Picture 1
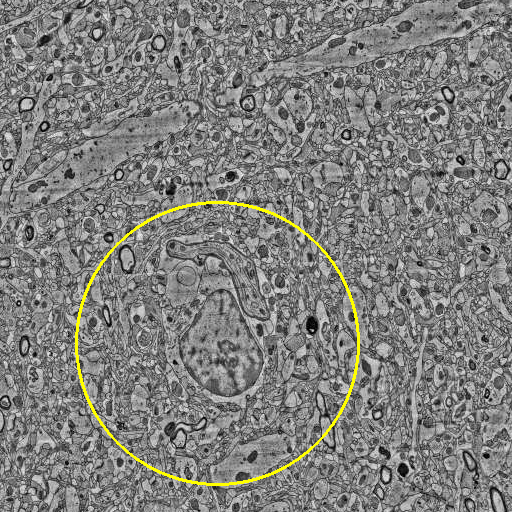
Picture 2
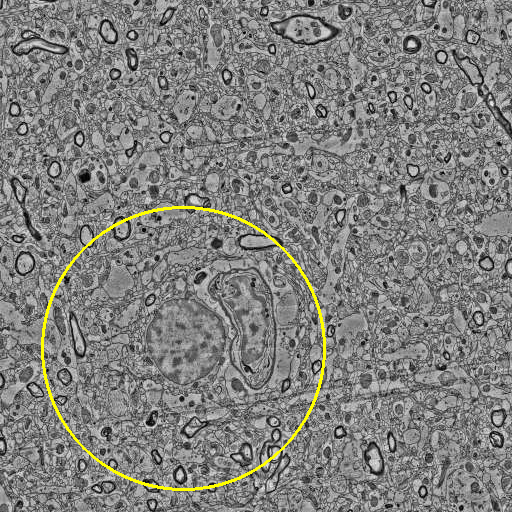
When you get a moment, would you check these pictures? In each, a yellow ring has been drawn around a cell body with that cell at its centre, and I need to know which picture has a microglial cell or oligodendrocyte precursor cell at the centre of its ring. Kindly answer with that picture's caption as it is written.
Picture 1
